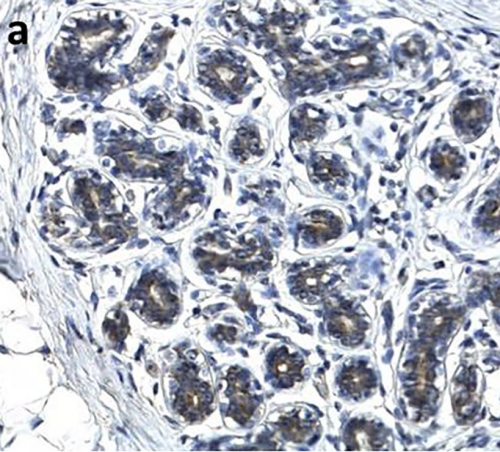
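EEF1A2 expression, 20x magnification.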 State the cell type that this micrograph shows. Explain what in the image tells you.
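Acinar cells. Many small round glandular units clustered together within loose stroma. Each unit has a tiny central lumen lined by cuboidal cells with blue nuclei and brown-tinged cytoplasm.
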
